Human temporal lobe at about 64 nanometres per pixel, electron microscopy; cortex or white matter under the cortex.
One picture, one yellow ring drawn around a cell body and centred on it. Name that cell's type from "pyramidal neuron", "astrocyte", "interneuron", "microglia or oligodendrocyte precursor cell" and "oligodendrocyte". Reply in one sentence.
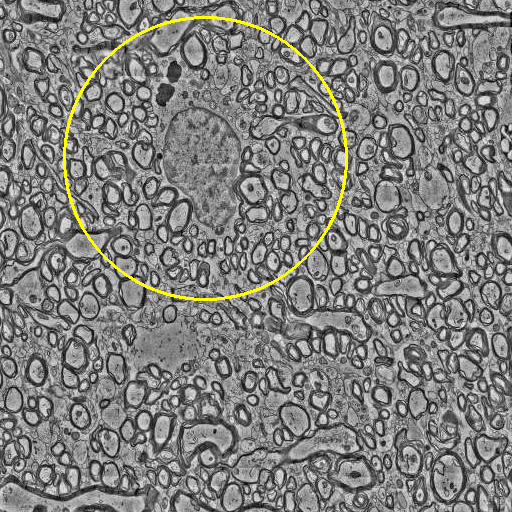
Centred in the ring is an oligodendrocyte.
